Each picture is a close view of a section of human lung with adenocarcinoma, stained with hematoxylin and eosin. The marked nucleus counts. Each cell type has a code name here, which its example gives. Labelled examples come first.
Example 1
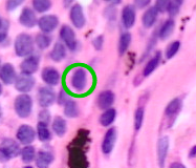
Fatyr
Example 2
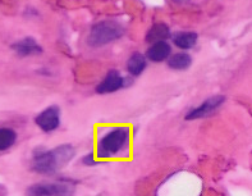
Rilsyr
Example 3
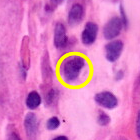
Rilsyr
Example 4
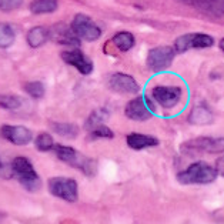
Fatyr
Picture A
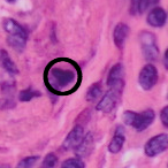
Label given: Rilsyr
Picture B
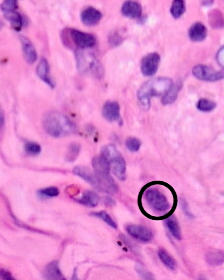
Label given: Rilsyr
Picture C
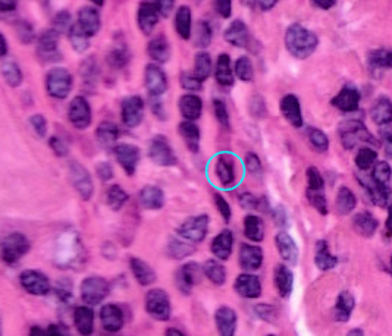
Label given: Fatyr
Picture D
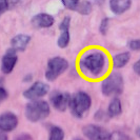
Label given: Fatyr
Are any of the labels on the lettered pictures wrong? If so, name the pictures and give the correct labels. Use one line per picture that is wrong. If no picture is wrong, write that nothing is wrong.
C: not Fatyr but Rilsyr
